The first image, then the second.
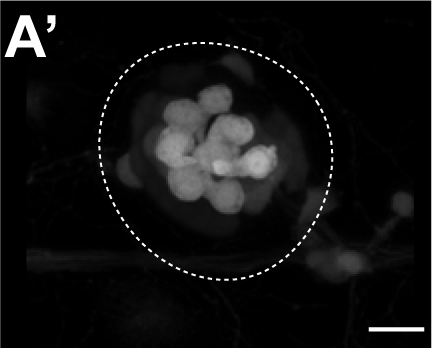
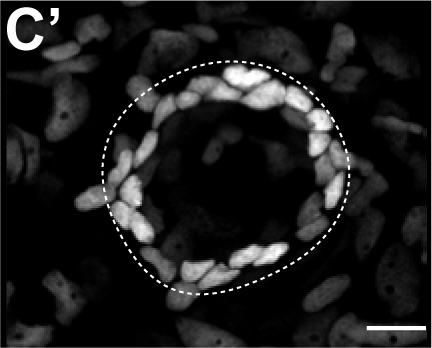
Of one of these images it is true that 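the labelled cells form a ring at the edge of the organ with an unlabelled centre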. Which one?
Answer: The second image.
